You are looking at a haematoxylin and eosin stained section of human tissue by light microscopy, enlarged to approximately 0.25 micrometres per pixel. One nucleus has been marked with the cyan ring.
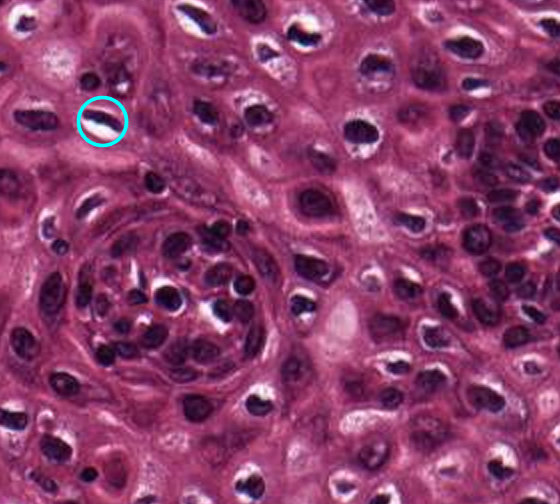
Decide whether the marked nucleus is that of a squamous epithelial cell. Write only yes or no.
yes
